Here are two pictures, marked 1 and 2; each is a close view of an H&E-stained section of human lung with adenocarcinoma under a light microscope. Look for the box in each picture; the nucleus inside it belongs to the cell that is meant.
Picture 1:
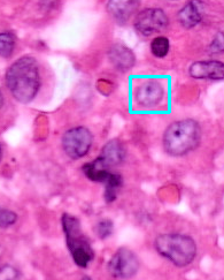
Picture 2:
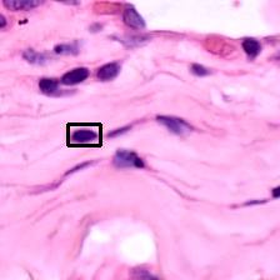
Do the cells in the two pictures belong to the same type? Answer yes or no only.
no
